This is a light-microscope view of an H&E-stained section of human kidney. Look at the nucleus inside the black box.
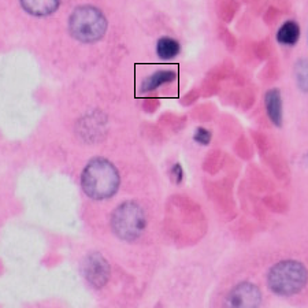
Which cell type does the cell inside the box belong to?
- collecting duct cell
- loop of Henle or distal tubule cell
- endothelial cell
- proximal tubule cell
endothelial cell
